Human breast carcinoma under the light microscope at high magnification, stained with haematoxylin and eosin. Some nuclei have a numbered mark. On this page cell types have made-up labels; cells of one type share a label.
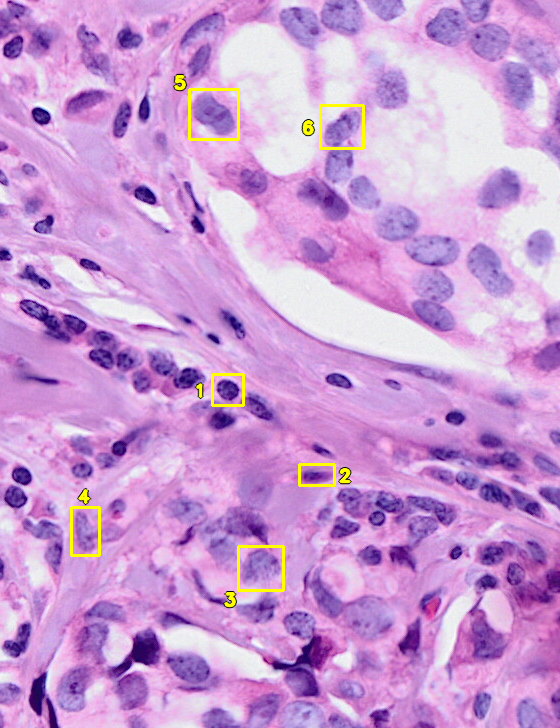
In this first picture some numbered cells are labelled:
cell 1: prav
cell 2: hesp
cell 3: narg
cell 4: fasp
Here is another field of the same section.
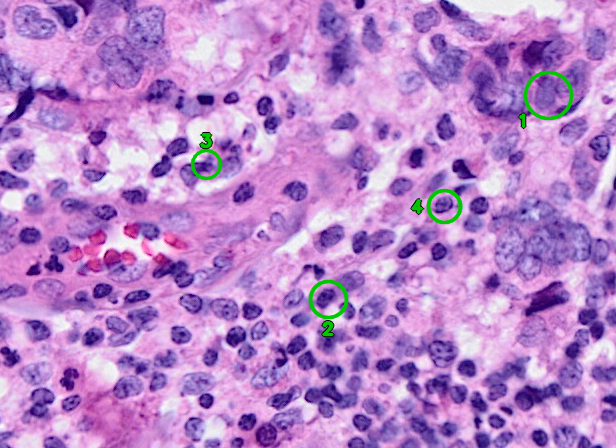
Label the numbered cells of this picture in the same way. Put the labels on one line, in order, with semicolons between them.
narg; prav; prav; prav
